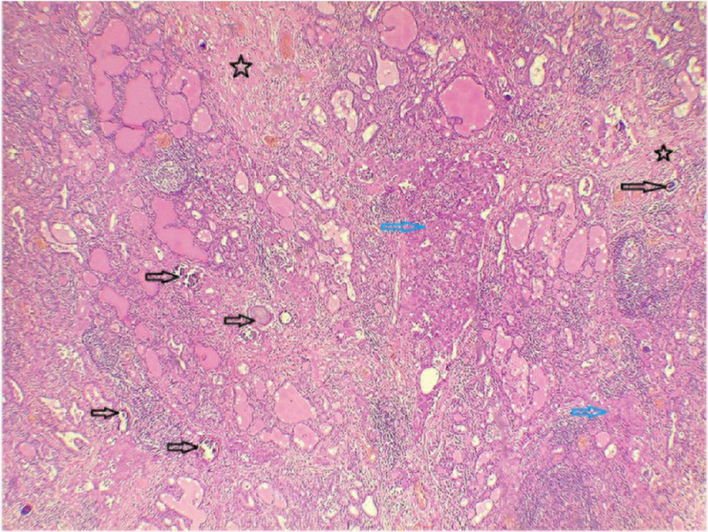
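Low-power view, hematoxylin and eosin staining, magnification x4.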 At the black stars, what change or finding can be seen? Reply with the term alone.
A: stromal fibrosis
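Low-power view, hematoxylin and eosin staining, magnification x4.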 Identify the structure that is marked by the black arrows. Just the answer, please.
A: Psammoma bodies.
